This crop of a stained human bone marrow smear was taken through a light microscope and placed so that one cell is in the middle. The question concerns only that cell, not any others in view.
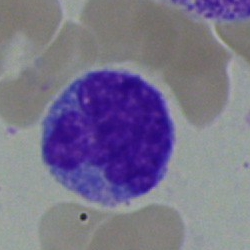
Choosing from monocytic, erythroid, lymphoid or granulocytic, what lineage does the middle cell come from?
monocytic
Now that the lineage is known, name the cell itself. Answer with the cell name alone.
monocyte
